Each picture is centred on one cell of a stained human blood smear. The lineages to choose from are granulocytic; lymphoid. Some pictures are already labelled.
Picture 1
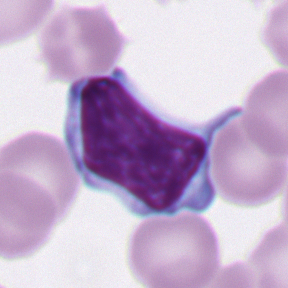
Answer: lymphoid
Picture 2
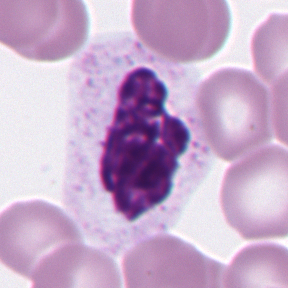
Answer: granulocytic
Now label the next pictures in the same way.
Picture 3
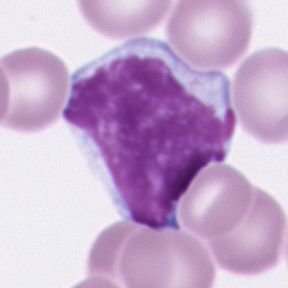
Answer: lymphoid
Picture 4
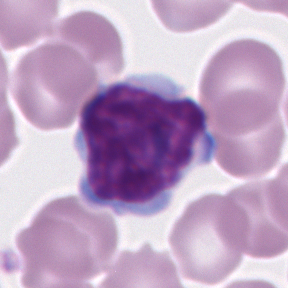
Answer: lymphoid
